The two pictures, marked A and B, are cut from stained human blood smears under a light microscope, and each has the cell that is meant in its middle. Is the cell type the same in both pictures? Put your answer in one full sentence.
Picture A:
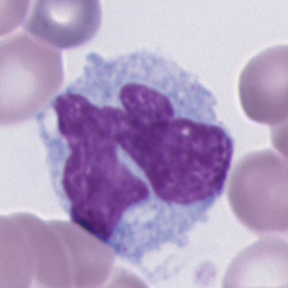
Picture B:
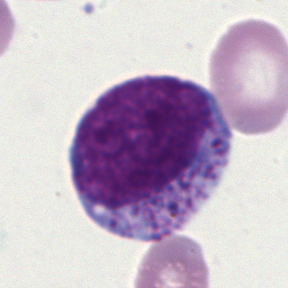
No, the types are not the same, since picture A shows a monocyte and picture B a promyelocyte.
